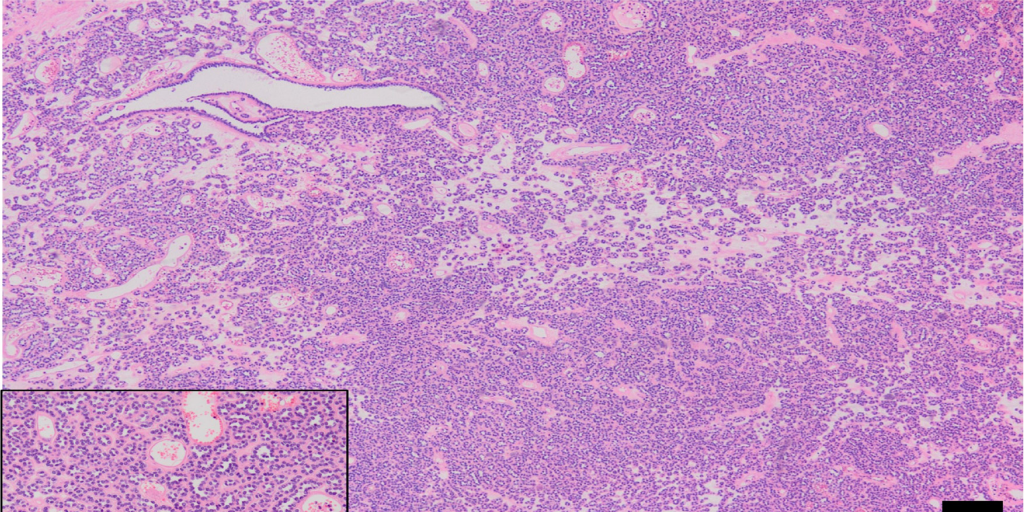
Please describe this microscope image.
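A low-power view of a monomorphic epithelial proliferation made of sheets and clusters of small cells with uniform, dark purple nuclei. Pale pink, loose, watery stroma separates the cellular areas and contains thin-walled vessels, some holding red blood cells. In the enlarged inset the cells form small nests and tubule-like groups around vessels with pink walls. No marked variation in nuclear size or shape is evident.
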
